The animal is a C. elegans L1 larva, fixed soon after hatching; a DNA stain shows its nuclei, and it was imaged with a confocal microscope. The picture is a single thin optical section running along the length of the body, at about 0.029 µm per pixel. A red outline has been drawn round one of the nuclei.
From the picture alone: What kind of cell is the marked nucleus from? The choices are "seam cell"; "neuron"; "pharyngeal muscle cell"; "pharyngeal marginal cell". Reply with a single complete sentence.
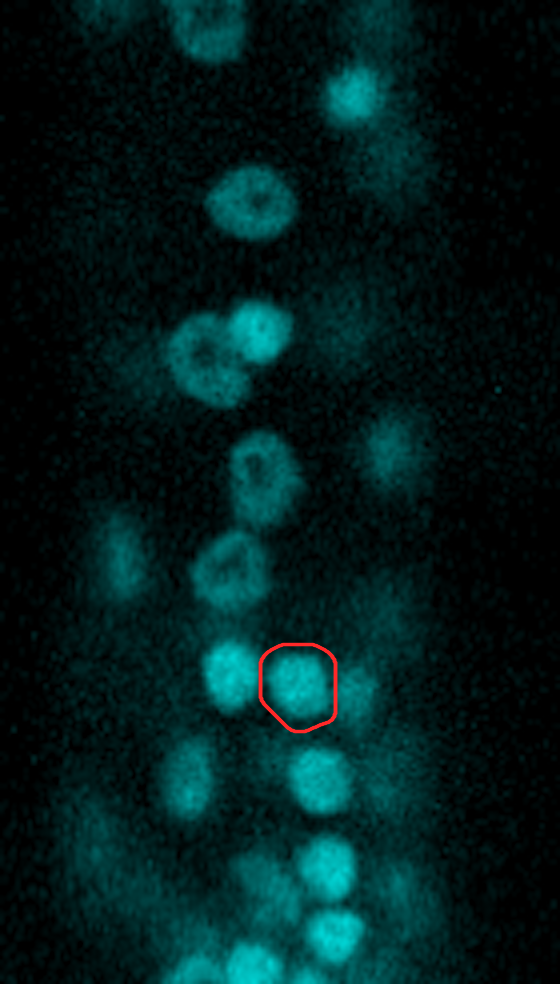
It belongs to a pharyngeal muscle cell.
